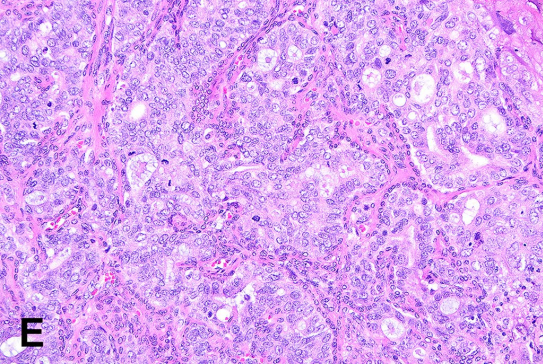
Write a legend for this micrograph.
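This is a crowded proliferation of atypical epithelial cells forming solid sheets punctuated by small round gland-like spaces. The nuclei are large and vesicular, with pale open chromatin and distinct nucleoli, and they vary in size from cell to cell. The cytoplasm is pale pink and the cells are packed closely with little intervening stroma, only thin pink fibrous strands.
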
